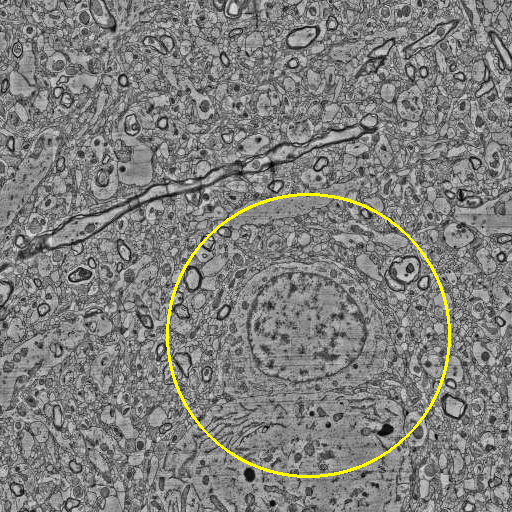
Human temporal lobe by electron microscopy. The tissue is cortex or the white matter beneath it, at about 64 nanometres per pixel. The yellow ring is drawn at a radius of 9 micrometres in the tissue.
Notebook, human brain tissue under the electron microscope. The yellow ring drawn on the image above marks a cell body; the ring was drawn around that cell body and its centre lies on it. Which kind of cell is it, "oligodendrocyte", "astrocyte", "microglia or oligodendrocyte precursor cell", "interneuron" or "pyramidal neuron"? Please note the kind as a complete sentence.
The marked cell body is that of an interneuron.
